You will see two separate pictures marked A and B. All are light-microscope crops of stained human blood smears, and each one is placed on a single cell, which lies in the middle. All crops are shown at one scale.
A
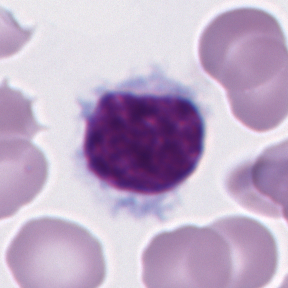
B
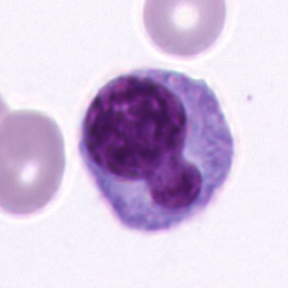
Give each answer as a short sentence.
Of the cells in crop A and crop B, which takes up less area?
Smaller is the cell in crop A, and the other is about 1.5 times as large in area.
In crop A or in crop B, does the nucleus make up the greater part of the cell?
Of the two, the nucleus in crop A makes up the greater part of its cell.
